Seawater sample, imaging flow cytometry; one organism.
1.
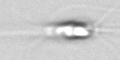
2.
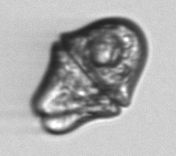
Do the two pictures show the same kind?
No: Chrysochromulina parkeae, then Akashiwo.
